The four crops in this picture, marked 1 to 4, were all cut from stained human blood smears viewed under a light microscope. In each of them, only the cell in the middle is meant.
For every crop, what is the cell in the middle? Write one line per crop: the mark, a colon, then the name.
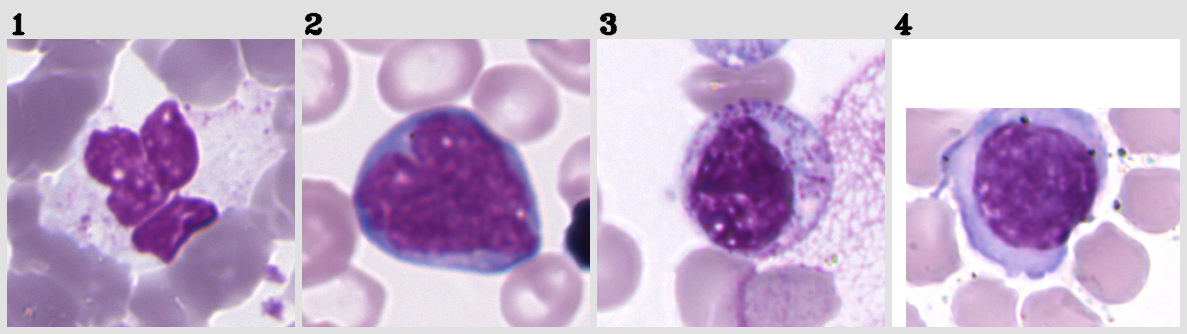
1: segmented neutrophil
2: myeloblast
3: metamyelocyte
4: plasma cell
